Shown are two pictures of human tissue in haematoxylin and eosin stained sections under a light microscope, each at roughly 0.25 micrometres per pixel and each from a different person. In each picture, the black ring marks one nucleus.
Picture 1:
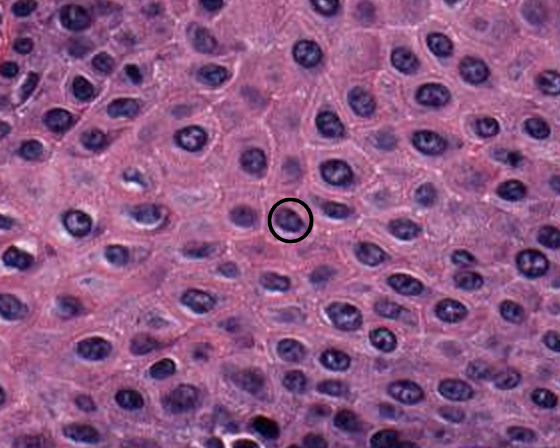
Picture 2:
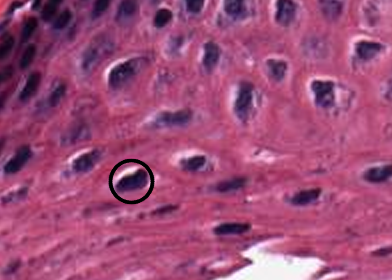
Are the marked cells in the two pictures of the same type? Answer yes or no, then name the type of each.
Yes, both are squamous epithelial cells.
